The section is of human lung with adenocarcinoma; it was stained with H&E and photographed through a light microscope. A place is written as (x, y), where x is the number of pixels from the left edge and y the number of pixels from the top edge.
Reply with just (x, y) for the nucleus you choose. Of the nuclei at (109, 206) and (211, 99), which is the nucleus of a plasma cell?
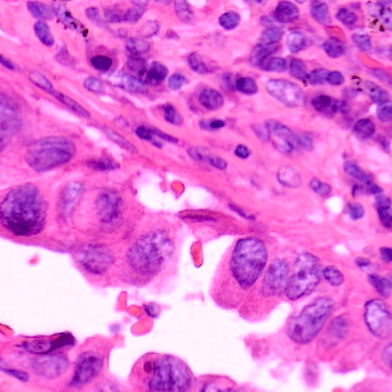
(211, 99)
